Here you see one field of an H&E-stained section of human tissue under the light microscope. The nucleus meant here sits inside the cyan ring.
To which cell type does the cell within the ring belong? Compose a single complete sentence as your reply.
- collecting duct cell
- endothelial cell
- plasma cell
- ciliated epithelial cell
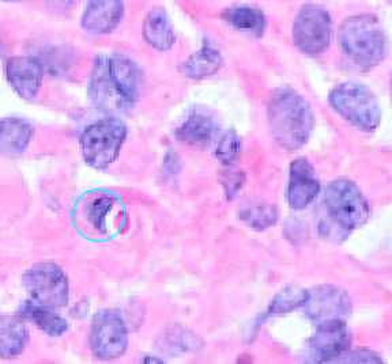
It is as an endothelial cell that the cell within the ring is recorded.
